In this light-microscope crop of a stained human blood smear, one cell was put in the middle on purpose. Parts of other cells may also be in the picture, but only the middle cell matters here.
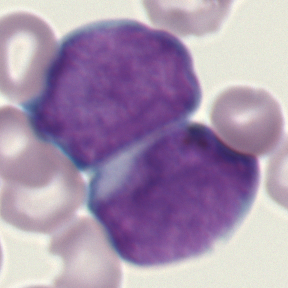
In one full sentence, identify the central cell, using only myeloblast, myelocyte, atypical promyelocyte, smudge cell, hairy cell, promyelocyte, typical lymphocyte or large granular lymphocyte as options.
The identification for the central cell is a myeloblast.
